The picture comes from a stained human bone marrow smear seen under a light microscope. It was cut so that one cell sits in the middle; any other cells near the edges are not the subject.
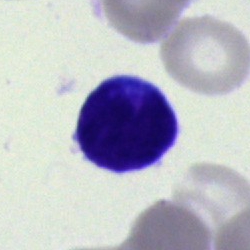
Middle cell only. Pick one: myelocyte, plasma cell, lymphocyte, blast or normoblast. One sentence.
The cell under consideration, at the middle of the crop, is a blast.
